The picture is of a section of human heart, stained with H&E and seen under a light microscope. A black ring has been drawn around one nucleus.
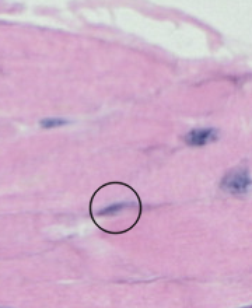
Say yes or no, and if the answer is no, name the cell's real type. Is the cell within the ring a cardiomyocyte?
No, it is an endothelial cell.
